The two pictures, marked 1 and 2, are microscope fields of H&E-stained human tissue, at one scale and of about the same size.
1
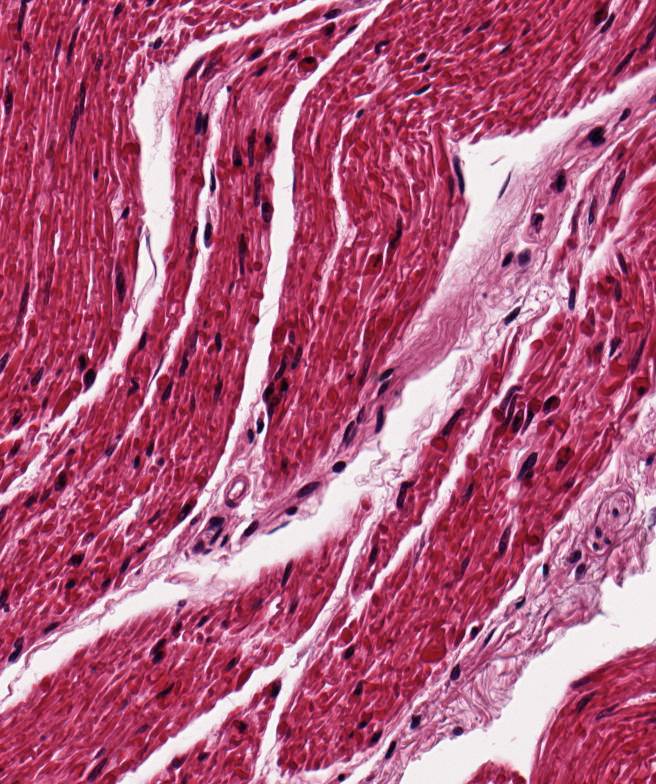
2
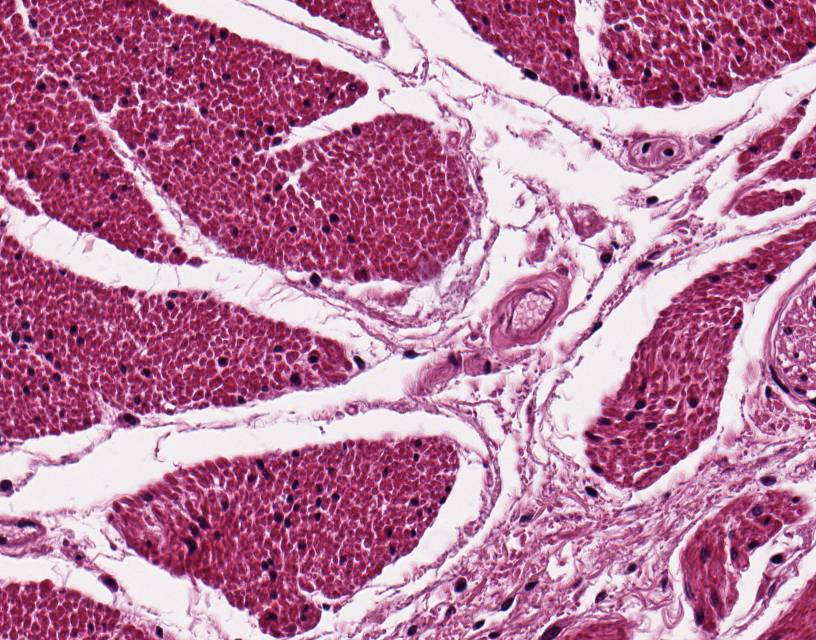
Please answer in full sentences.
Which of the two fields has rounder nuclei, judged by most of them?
The nuclei are rounder in picture 2.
